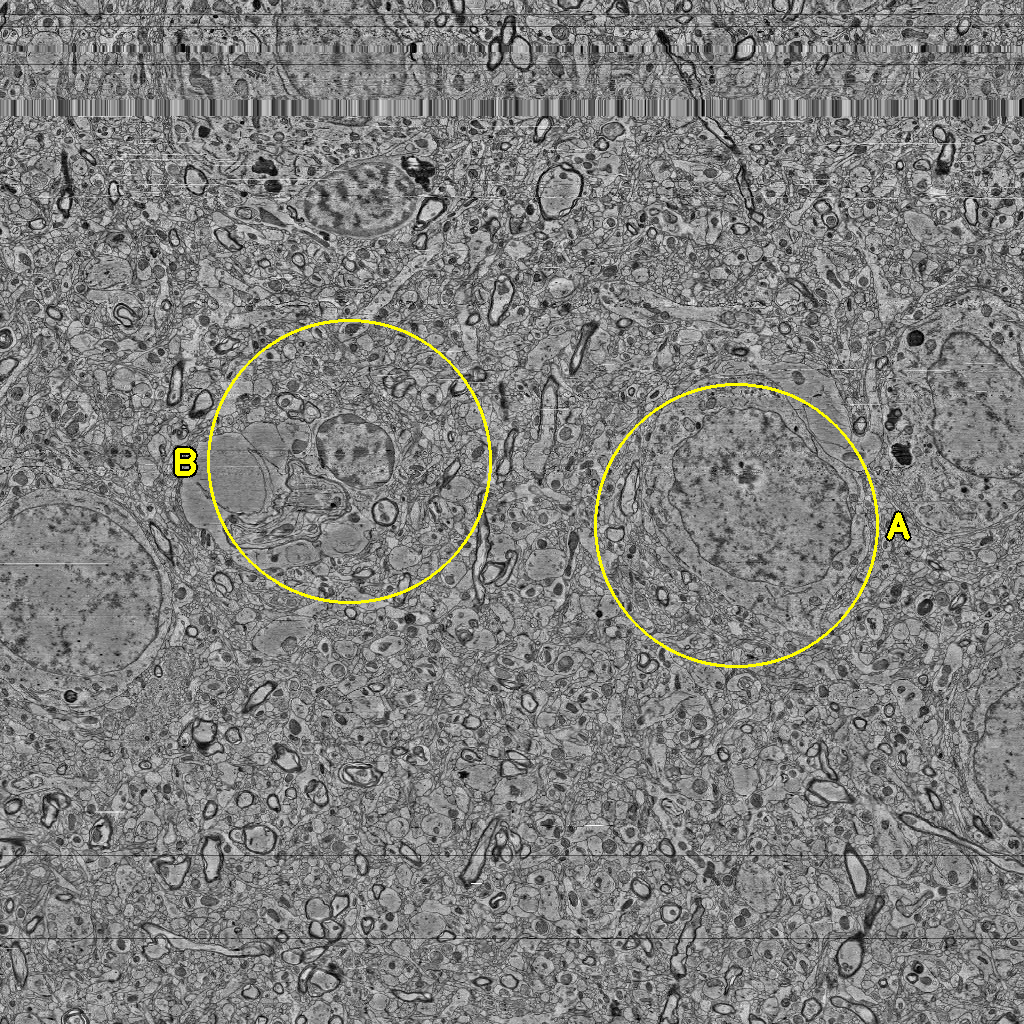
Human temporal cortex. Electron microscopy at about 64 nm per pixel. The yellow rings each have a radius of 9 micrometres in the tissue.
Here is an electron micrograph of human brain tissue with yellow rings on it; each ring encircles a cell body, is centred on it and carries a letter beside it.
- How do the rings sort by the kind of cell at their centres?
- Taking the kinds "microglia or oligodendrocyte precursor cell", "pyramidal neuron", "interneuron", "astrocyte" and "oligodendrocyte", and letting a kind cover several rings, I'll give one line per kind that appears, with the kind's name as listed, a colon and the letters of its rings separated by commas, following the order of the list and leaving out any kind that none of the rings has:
microglia or oligodendrocyte precursor cell: B
pyramidal neuron: A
